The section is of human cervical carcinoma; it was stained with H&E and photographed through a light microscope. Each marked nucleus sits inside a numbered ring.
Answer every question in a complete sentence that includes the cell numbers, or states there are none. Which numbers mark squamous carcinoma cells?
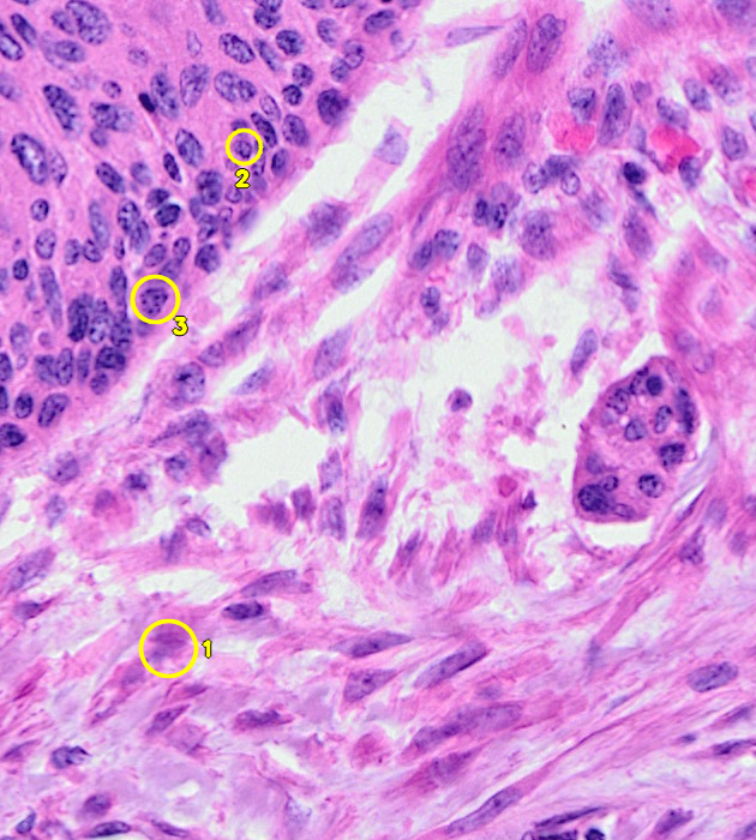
The cells the numbers 2 and 3 point to are squamous carcinoma cells.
